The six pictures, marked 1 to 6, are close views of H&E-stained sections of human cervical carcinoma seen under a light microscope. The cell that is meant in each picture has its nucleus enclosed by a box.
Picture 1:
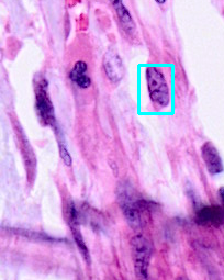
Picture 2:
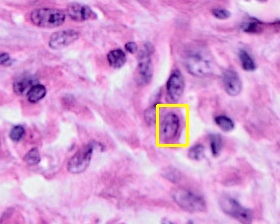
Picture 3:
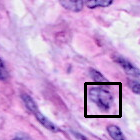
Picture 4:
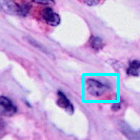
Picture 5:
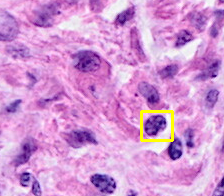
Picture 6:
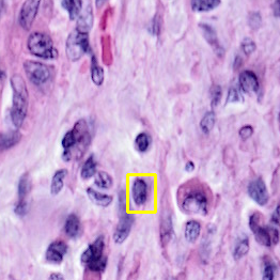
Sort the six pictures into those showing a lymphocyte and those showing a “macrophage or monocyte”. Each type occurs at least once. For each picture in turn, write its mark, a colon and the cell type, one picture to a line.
1: macrophage or monocyte
2: macrophage or monocyte
3: macrophage or monocyte
4: macrophage or monocyte
5: lymphocyte
6: lymphocyte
